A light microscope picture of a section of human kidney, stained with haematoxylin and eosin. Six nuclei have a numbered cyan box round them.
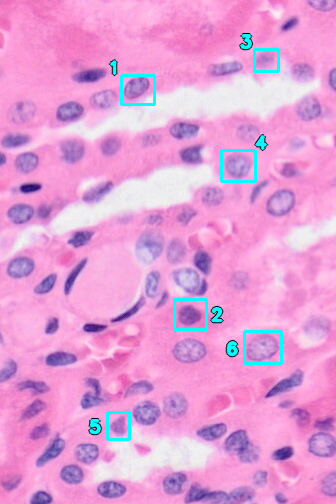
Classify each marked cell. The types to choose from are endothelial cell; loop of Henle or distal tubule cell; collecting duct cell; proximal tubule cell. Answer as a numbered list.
1. loop of Henle or distal tubule cell
2. proximal tubule cell
3. loop of Henle or distal tubule cell
4. loop of Henle or distal tubule cell
5. loop of Henle or distal tubule cell
6. proximal tubule cell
